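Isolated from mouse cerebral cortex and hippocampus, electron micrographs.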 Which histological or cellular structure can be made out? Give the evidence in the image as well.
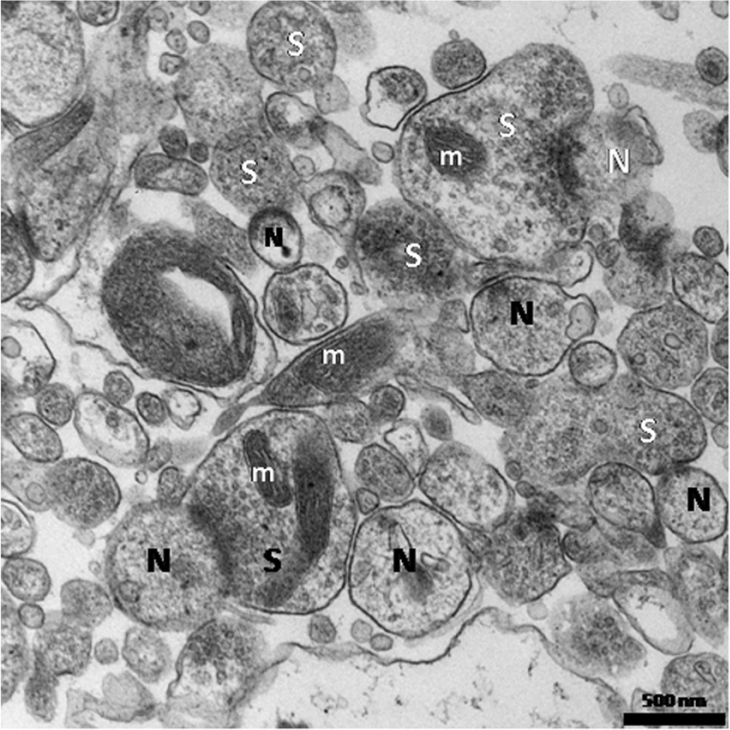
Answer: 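Many separate rounded membrane-bound profiles lie loosely scattered. Several profiles are packed with small round vesicles. Some vesicle-filled profiles hold a mitochondrion. Vesicle-filled profiles lie pressed against smaller paler profiles.
Hence: synaptoneurosomes.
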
